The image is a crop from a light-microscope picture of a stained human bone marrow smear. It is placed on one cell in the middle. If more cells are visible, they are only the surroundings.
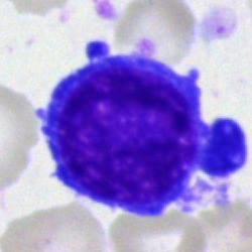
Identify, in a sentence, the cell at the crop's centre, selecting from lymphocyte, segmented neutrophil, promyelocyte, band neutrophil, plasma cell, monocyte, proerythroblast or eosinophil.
The cell of interest, located centrally, is a proerythroblast.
